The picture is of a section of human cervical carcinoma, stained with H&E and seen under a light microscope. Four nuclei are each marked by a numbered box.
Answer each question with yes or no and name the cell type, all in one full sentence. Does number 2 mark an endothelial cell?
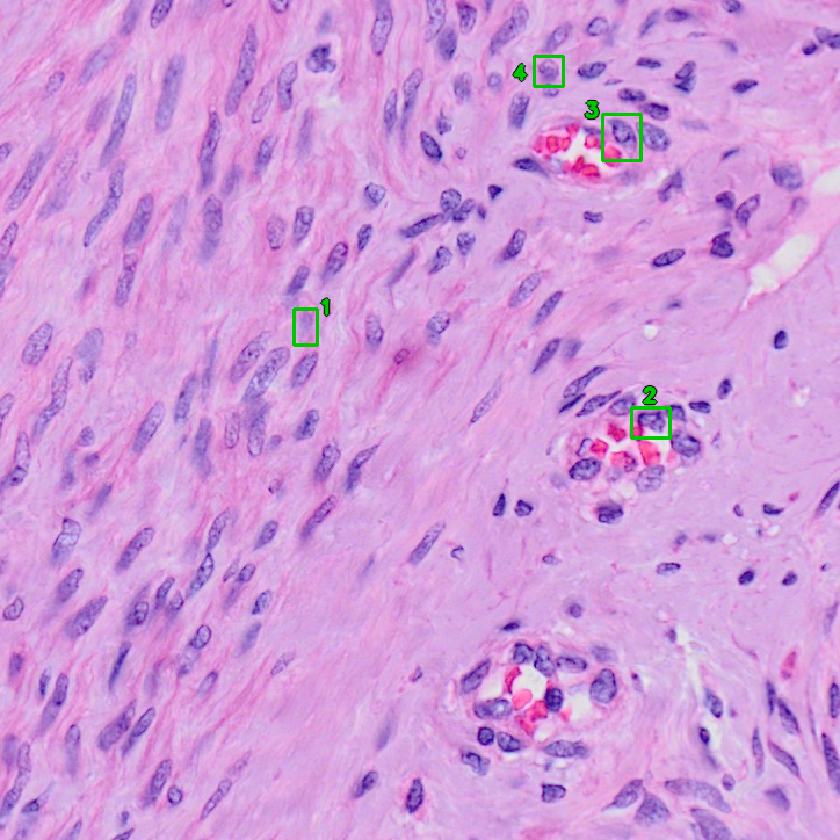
Yes, the cell with the number 2 is an endothelial cell.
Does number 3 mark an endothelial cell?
Yes, the cell with the number 3 is an endothelial cell.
